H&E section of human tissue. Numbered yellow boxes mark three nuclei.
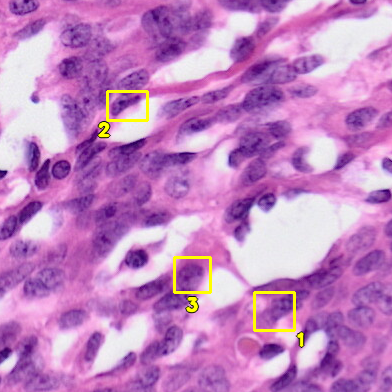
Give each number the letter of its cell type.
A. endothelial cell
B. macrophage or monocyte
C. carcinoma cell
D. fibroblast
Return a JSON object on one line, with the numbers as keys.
{"1": "C", "2": "B", "3": "C"}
